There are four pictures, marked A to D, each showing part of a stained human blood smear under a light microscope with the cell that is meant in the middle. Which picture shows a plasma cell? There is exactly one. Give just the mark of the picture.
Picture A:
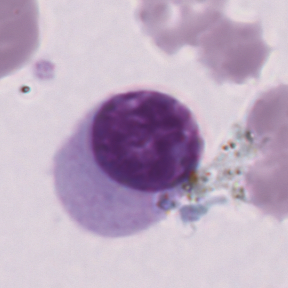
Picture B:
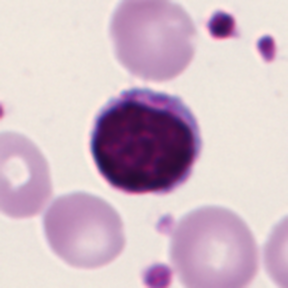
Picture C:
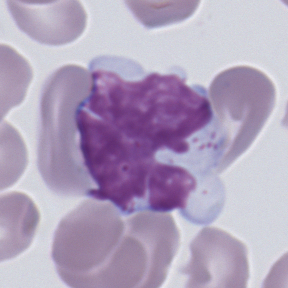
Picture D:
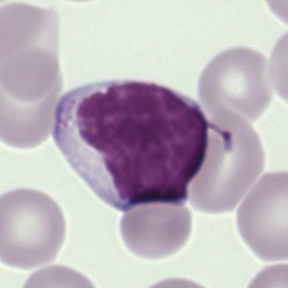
A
